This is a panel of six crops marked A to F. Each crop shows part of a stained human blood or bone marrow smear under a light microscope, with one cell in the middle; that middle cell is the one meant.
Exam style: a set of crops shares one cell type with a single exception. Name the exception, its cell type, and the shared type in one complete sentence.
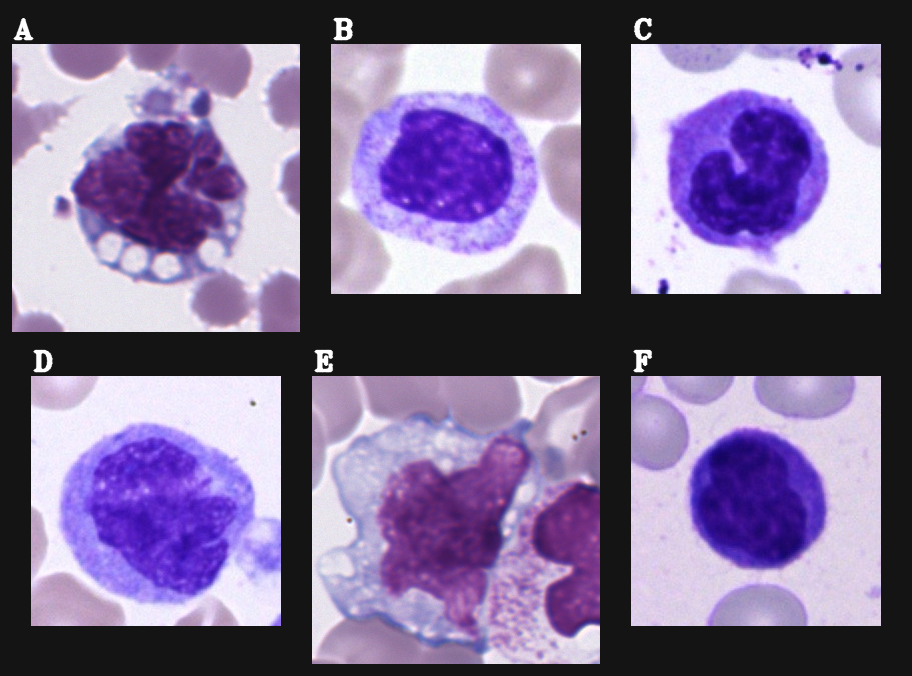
Crop B differs, its cell being a myelocyte, whereas the other crops show monocytes.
